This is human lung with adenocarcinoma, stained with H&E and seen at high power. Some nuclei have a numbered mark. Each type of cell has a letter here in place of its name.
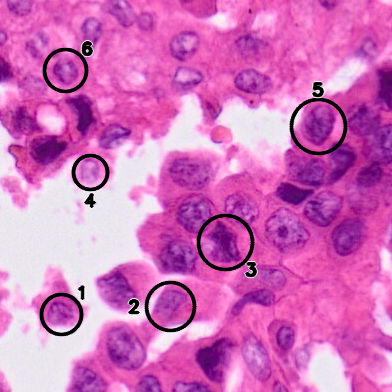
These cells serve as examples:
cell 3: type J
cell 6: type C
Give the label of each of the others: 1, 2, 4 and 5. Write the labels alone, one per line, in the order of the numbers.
type C
type J
type C
type J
